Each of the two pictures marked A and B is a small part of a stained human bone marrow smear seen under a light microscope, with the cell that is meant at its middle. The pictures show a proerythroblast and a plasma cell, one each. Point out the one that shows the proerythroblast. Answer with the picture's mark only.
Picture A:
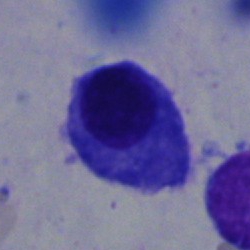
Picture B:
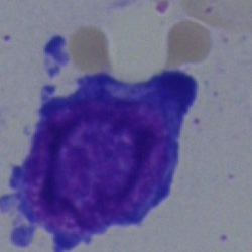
B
